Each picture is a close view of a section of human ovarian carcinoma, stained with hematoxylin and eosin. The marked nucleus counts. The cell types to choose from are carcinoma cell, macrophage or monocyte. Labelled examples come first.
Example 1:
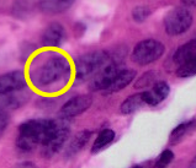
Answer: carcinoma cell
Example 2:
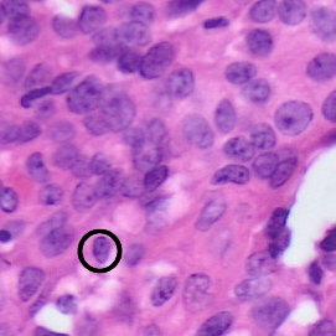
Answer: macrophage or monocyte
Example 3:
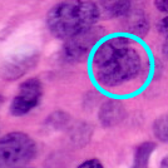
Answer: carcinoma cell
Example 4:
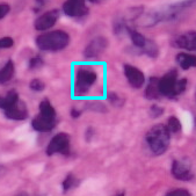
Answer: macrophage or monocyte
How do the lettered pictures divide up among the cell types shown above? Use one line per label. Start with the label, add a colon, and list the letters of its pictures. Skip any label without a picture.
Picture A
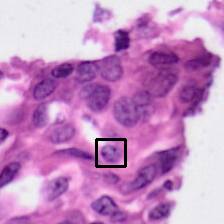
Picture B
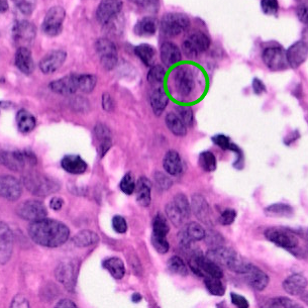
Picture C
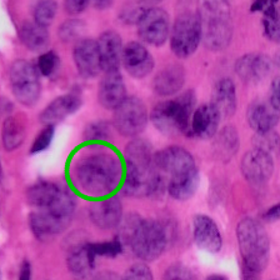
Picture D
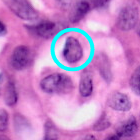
carcinoma cell: B, C
macrophage or monocyte: A, D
